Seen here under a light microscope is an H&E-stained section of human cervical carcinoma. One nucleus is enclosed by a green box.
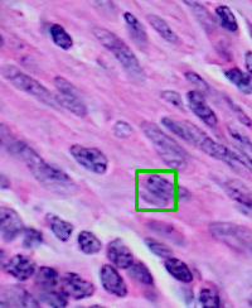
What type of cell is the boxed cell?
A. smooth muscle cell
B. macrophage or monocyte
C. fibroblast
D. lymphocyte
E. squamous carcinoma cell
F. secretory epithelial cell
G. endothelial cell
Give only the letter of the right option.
D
